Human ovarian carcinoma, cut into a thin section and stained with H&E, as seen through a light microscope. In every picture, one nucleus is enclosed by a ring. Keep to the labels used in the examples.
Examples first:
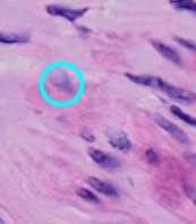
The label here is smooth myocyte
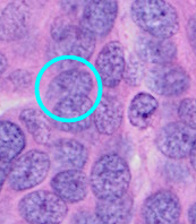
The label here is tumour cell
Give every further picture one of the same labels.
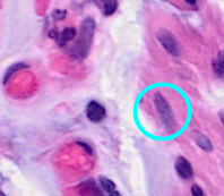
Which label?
smooth myocyte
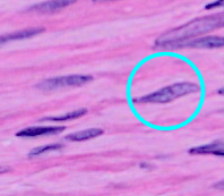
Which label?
smooth myocyte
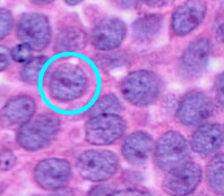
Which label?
tumour cell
